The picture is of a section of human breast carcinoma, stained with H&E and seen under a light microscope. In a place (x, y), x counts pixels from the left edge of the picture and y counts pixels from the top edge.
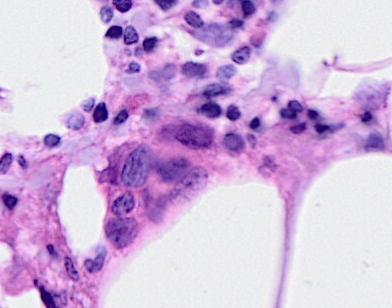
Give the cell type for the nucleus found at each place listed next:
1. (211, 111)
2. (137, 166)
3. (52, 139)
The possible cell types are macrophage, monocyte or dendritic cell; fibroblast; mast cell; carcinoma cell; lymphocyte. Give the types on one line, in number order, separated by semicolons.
lymphocyte; carcinoma cell; lymphocyte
